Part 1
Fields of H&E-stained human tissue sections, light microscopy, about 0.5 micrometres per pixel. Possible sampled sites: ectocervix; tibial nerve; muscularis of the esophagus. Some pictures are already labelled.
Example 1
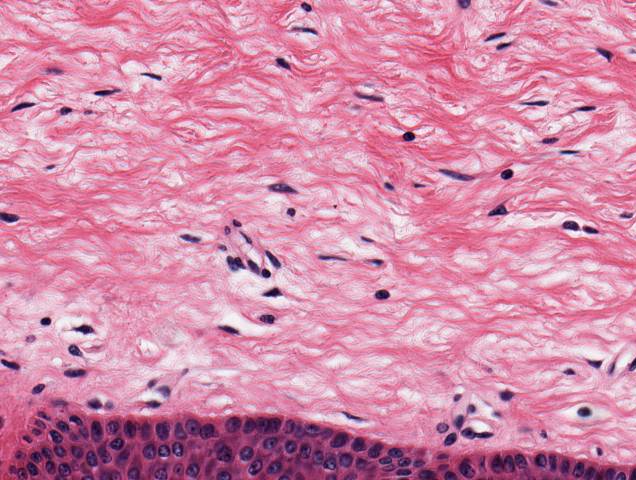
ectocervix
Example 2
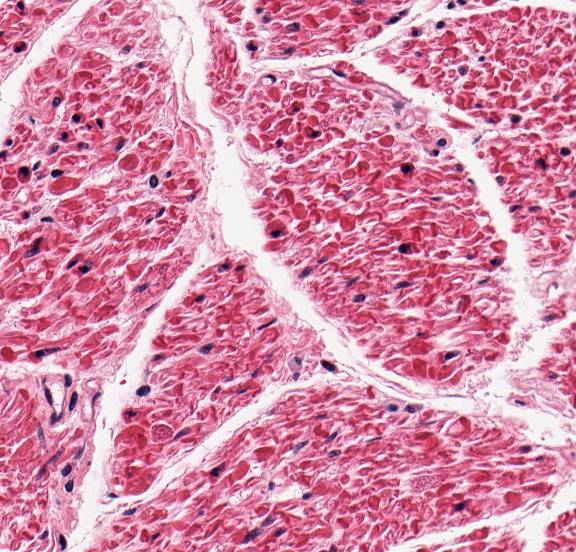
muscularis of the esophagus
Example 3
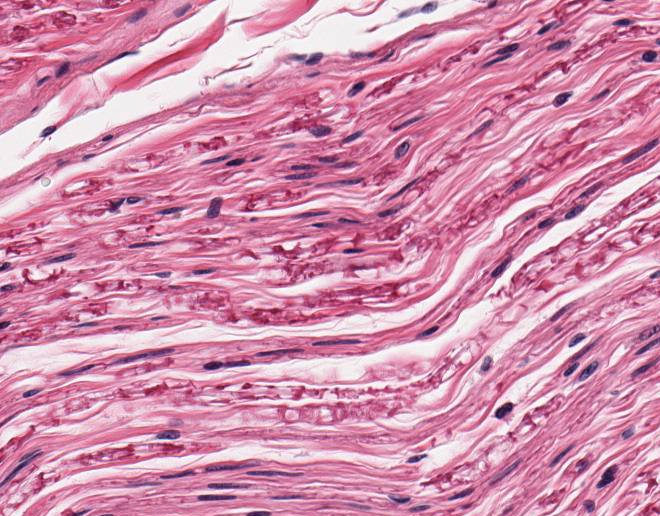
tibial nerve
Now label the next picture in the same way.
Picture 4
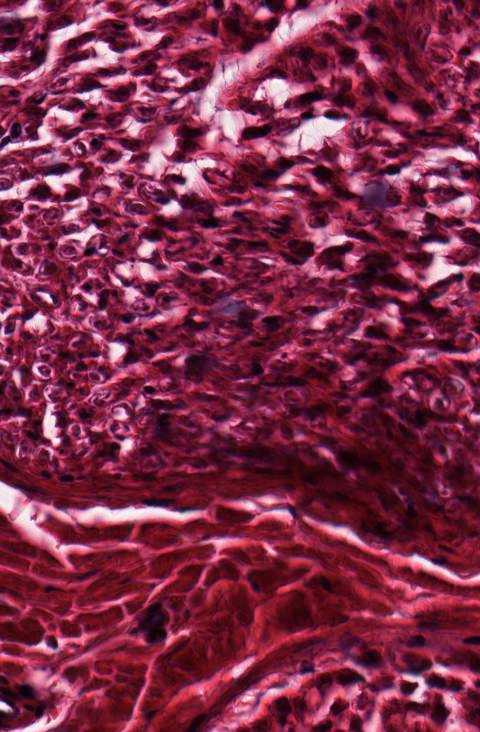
tibial nerve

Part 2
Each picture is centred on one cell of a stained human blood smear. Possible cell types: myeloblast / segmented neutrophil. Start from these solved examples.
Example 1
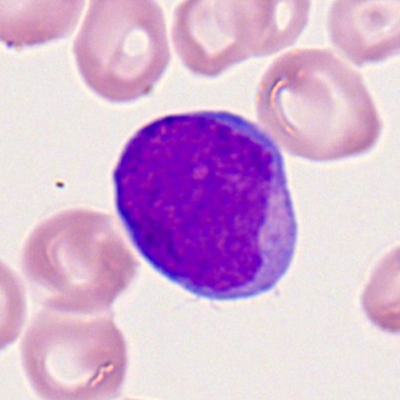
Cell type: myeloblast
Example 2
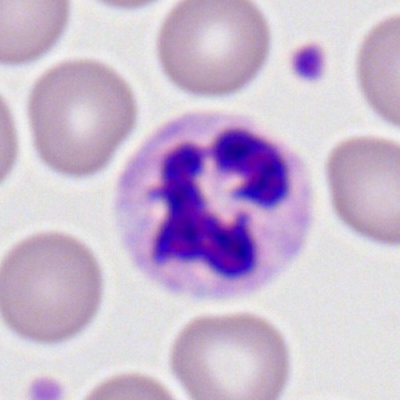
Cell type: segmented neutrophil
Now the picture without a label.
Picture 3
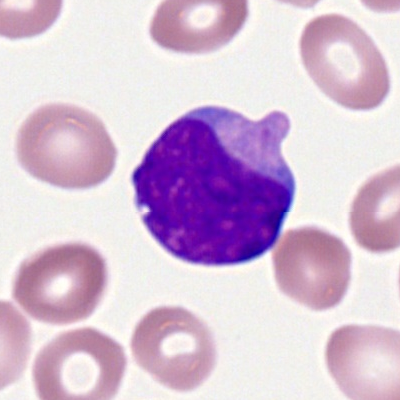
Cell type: myeloblast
